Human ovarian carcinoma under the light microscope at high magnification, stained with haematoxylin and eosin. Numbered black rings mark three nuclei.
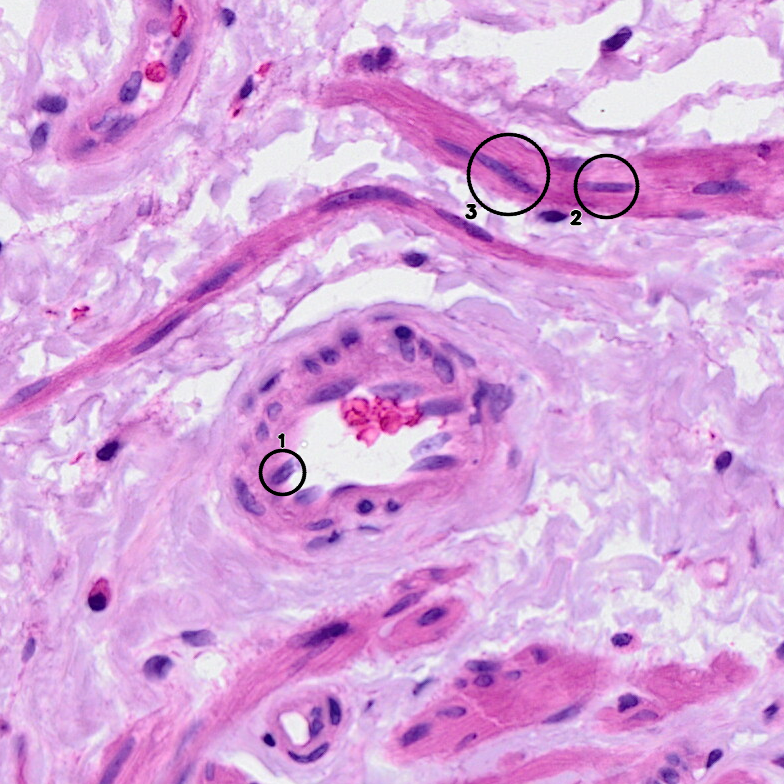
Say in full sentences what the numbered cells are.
Cell 1 is an endothelial cell, cell 2 is a smooth muscle cell and cell 3 is a smooth muscle cell.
